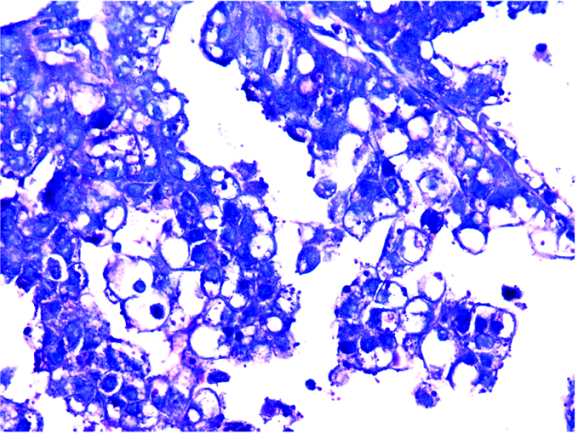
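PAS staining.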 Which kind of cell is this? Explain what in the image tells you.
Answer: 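Large epithelial cells with pale, empty-looking, vacuolated cytoplasm. Cells have distinct cell borders. Nuclei are enlarged and irregular, some displaced to the side. The answer: cancer cells with clear cytoplasm.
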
